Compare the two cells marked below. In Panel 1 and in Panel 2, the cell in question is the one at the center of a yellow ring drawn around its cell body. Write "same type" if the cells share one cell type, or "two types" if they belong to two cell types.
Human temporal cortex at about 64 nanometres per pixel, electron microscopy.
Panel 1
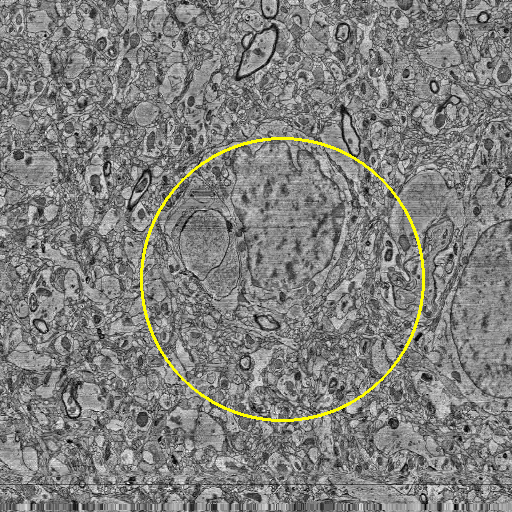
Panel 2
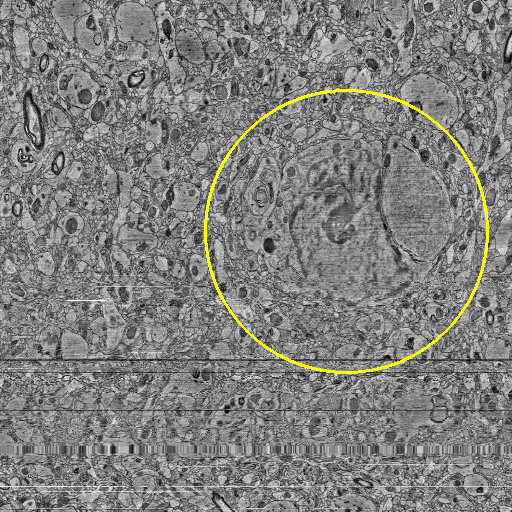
same type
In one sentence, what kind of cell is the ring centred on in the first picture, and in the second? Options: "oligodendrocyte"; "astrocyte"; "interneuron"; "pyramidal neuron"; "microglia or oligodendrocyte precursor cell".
Both pictures show an interneuron at the centre of the ring.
